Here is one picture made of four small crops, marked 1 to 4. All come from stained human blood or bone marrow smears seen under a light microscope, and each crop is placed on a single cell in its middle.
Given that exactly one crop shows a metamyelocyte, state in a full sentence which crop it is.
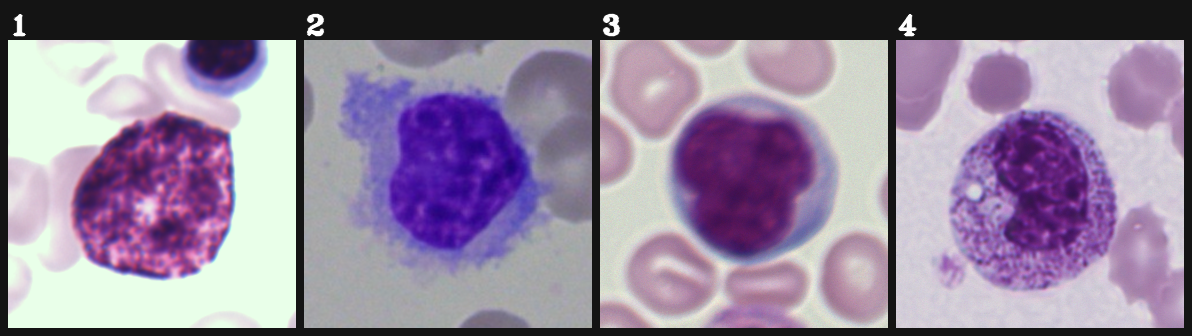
Among the crops, only crop 4 contains a metamyelocyte.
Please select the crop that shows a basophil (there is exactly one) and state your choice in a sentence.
So the crop with a basophil at its center is crop 1.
